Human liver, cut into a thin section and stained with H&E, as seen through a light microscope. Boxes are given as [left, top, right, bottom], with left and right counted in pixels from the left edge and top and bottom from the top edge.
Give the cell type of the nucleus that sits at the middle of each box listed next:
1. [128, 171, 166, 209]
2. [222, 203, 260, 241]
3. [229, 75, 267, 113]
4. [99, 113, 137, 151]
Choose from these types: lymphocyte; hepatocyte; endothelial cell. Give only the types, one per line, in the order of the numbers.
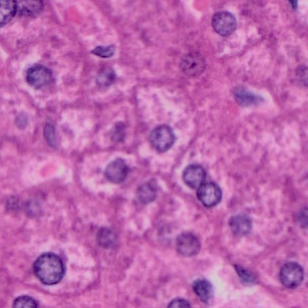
hepatocyte
hepatocyte
endothelial cell
hepatocyte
